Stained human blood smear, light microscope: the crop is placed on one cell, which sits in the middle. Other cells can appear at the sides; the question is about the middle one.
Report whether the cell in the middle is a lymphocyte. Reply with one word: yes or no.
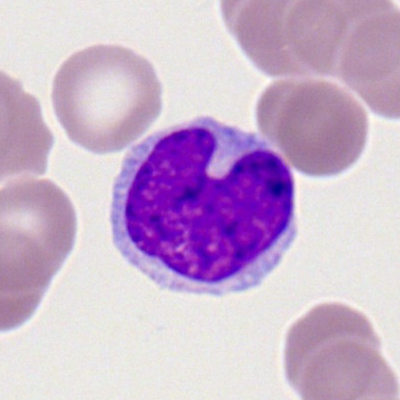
yes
